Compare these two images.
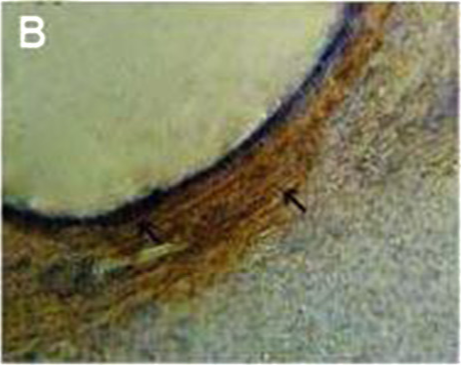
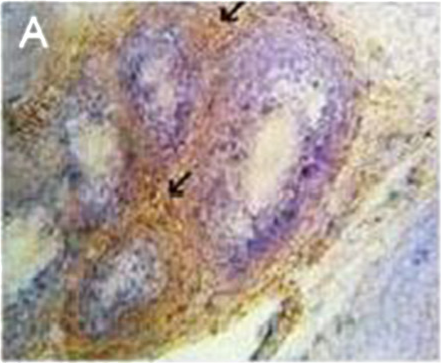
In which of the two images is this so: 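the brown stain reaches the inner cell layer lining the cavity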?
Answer: The first image.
